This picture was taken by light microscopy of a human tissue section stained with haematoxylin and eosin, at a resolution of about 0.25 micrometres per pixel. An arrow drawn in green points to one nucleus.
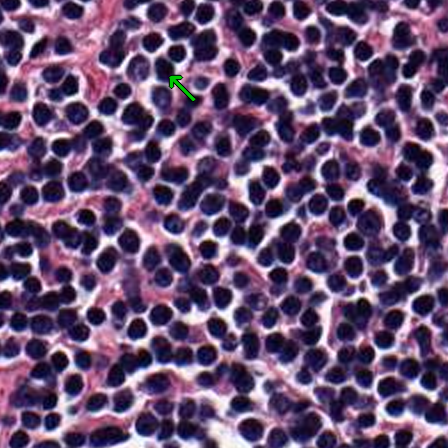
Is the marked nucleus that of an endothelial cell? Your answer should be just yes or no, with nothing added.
no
